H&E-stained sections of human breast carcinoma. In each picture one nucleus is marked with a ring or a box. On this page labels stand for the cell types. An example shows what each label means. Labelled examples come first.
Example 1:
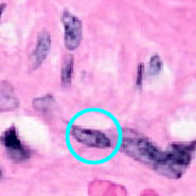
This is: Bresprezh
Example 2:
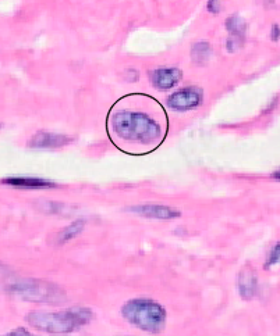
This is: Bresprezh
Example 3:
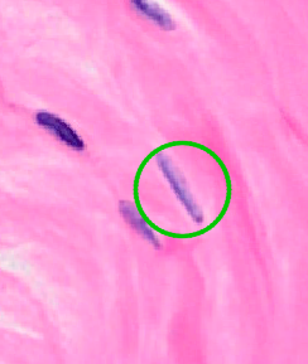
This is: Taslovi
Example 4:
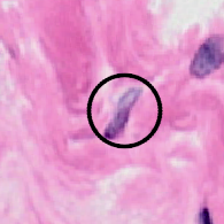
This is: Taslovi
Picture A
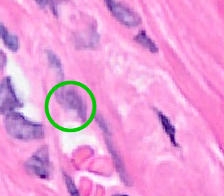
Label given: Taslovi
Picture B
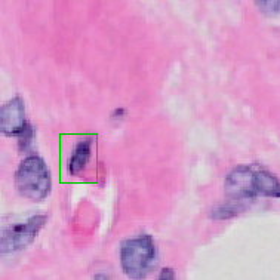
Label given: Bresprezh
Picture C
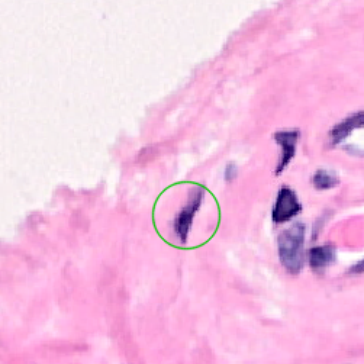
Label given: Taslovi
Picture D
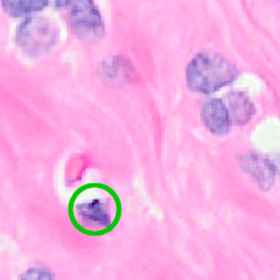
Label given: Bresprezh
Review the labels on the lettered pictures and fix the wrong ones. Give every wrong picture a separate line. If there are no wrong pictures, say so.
A should be Bresprezh, not Taslovi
